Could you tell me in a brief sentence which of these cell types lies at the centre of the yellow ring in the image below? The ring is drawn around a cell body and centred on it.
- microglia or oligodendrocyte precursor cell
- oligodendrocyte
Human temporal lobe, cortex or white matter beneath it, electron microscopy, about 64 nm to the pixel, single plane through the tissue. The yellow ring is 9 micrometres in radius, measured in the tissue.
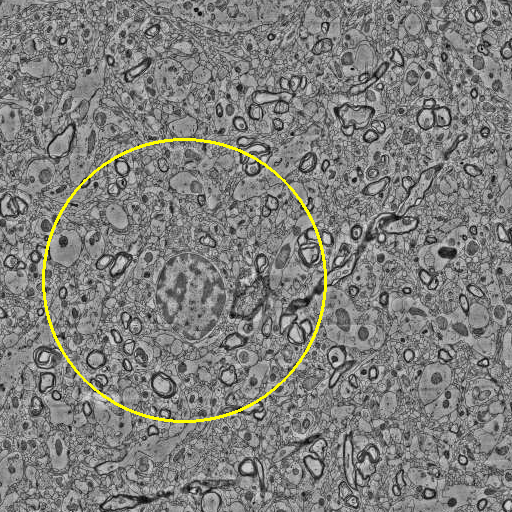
The cell centred in the ring is a microglial cell or oligodendrocyte precursor cell.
